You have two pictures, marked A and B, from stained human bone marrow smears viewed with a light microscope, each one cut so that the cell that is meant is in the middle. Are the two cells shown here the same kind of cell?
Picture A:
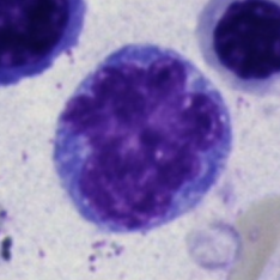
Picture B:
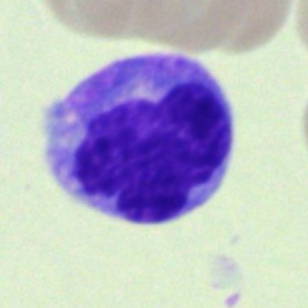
yes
